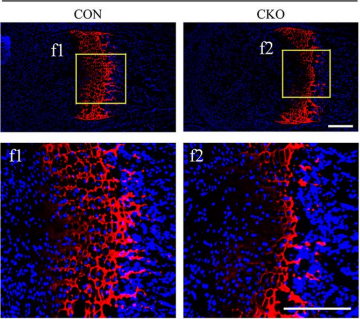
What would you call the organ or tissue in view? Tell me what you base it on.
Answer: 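Growth plates. The end of a long bone with cartilage of densely packed nuclei. A band of red matrix stain crosses the bone transversely between cartilage and shaft.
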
